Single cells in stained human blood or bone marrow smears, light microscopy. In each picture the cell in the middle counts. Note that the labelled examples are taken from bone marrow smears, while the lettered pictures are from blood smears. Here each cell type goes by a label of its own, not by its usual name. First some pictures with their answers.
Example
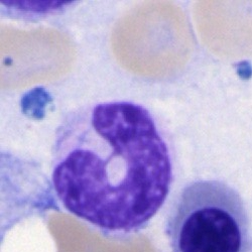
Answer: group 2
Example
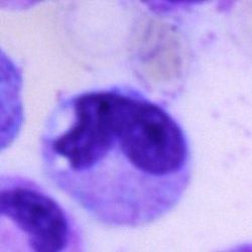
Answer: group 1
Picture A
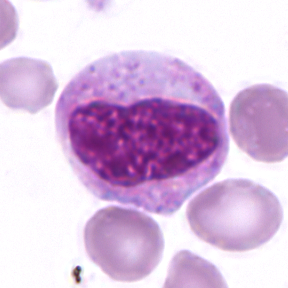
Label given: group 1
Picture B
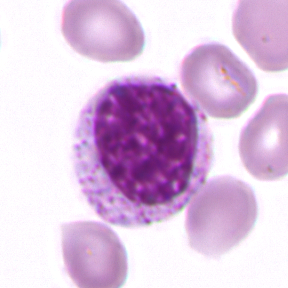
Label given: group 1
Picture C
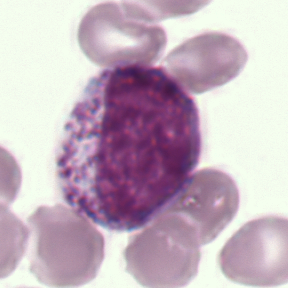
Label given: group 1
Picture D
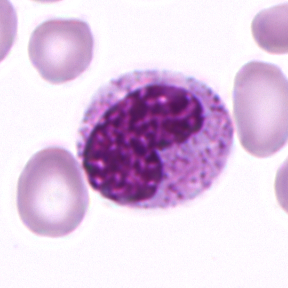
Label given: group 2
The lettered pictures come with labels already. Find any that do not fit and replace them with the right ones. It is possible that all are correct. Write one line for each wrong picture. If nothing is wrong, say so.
Nothing to fix; every label fits.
